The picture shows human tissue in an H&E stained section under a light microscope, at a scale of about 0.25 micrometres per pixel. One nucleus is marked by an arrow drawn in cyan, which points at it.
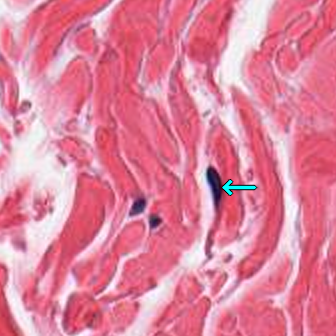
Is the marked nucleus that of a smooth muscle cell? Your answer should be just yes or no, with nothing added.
no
